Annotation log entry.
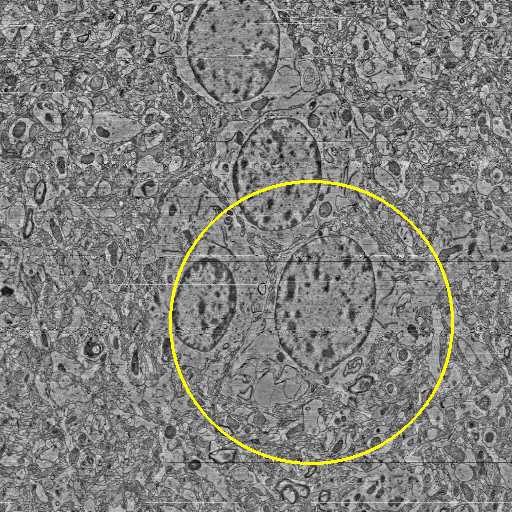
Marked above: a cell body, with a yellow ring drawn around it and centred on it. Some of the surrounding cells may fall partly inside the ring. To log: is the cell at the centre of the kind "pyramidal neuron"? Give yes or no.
No, the cell at the centre is of another kind.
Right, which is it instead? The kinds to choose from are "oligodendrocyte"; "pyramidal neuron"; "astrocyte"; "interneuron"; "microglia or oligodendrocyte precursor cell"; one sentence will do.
The cell marked by the ring is an astrocyte.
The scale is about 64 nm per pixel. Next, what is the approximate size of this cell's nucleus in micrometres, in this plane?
In this plane the nucleus measures roughly 9 by 6 micrometres.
